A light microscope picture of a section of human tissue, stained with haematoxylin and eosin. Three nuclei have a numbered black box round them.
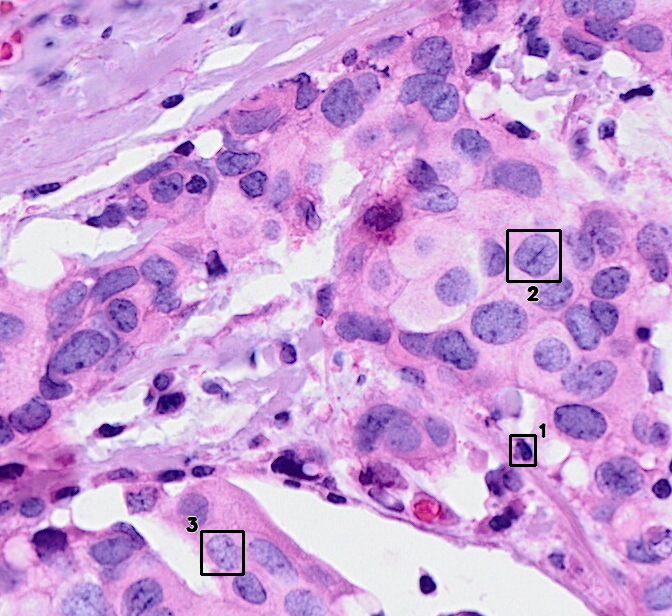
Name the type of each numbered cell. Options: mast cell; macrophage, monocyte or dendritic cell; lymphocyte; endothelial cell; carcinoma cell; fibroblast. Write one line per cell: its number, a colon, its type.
1: lymphocyte
2: carcinoma cell
3: carcinoma cell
